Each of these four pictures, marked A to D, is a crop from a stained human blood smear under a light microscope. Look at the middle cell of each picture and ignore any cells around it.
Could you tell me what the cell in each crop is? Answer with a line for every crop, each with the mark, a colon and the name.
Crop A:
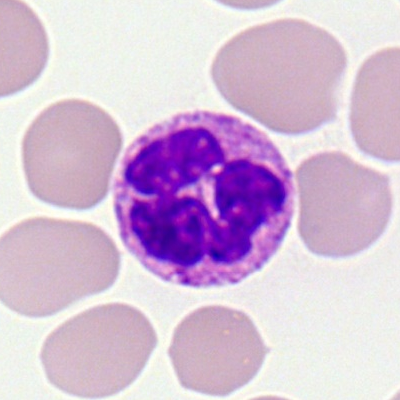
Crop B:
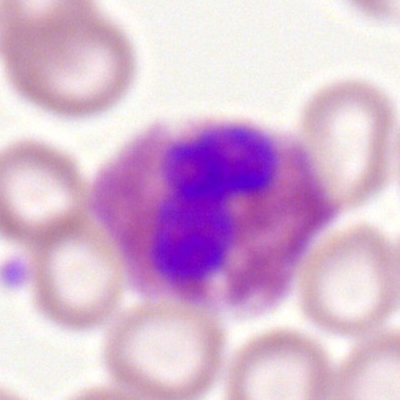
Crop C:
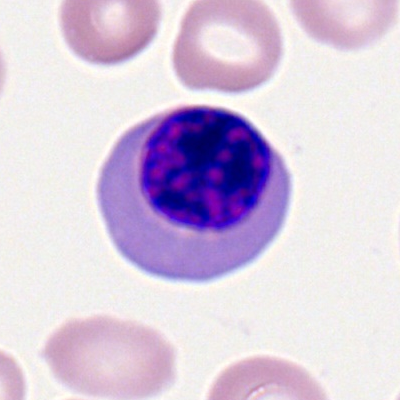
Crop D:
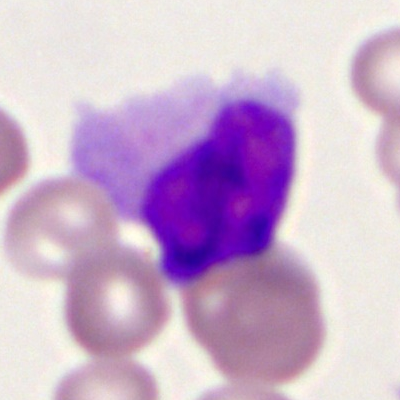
A: basophil
B: eosinophil
C: erythroblast
D: monocyte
